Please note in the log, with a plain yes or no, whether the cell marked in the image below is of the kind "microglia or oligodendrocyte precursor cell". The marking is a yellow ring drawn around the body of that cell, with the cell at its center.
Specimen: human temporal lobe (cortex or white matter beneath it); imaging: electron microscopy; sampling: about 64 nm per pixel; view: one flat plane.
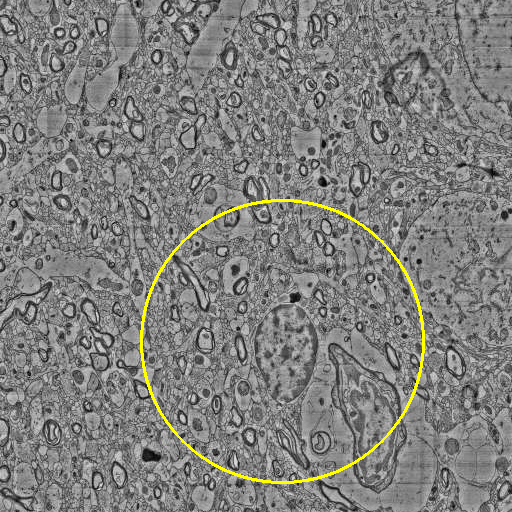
yes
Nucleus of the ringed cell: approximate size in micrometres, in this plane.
The nucleus comes to approximately 6 by 4 micrometres and is clearly longer than it is wide in this plane.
